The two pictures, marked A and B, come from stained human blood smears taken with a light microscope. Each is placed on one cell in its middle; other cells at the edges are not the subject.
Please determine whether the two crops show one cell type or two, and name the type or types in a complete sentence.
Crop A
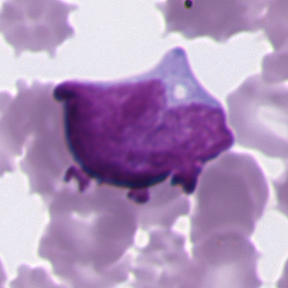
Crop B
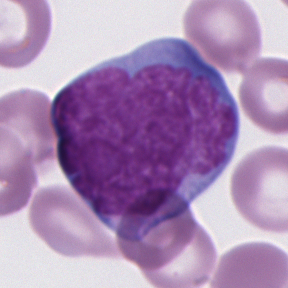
Yes, both crops depict myeloblasts at the centre.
